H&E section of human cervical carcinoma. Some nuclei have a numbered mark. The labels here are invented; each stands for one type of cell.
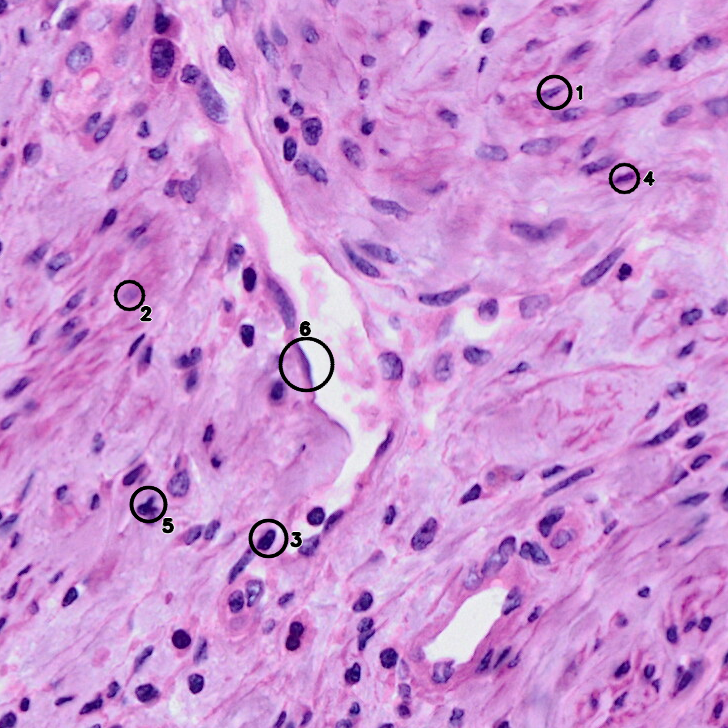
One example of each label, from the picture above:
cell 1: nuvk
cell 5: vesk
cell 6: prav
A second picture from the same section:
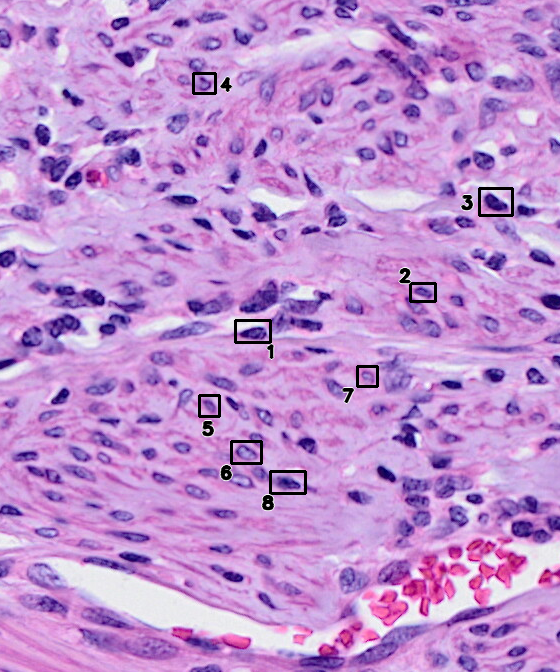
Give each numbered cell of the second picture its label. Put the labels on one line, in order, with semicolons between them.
vesk; nuvk; vesk; nuvk; nuvk; nuvk; nuvk; vesk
